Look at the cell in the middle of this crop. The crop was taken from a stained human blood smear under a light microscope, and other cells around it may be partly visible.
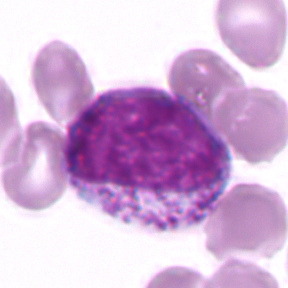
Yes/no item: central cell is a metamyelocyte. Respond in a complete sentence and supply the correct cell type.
Yes, the middle cell of the field is a metamyelocyte.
